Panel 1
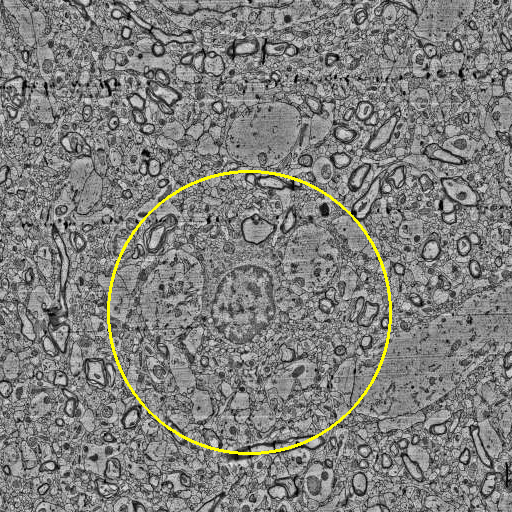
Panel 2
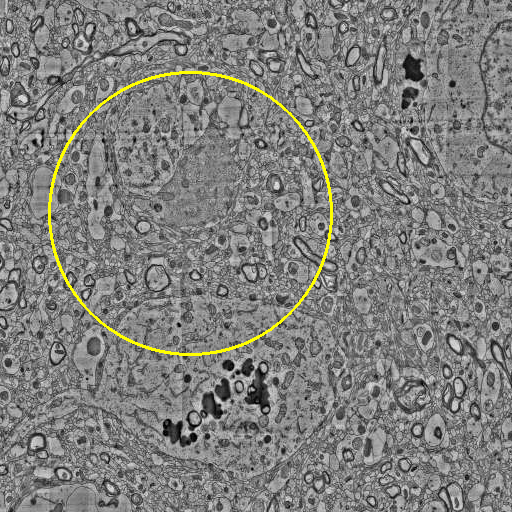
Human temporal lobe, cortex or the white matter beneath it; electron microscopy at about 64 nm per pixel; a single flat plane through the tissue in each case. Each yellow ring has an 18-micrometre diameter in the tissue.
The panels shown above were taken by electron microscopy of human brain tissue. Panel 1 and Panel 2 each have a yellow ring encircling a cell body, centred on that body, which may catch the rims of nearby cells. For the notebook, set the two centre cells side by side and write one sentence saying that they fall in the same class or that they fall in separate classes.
The centred cells of Panel 1 and Panel 2 fall in the same class.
